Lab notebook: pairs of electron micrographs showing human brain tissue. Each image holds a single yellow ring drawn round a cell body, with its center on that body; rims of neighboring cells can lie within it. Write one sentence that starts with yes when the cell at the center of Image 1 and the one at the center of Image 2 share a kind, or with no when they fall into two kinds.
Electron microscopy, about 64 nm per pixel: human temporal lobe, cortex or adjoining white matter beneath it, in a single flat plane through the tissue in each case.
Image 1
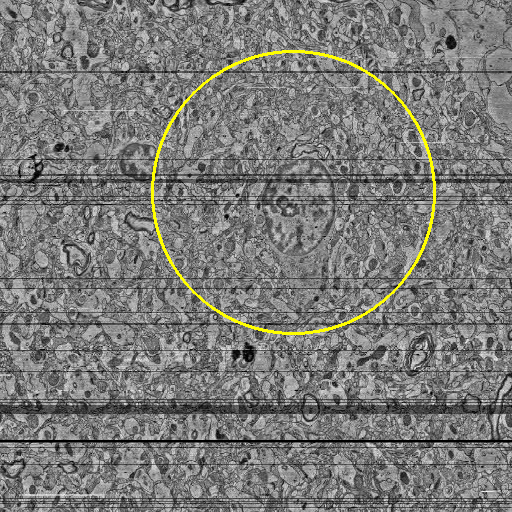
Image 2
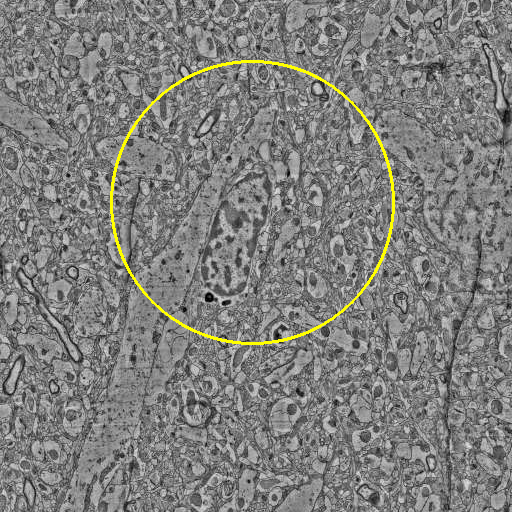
No, the centered cell in Image 1 and the centered cell in Image 2 are of two kinds.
